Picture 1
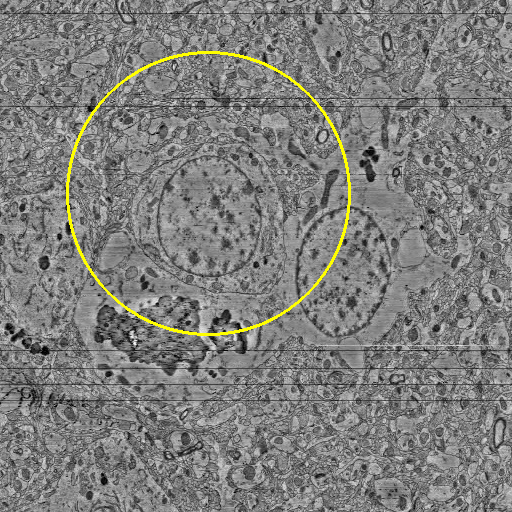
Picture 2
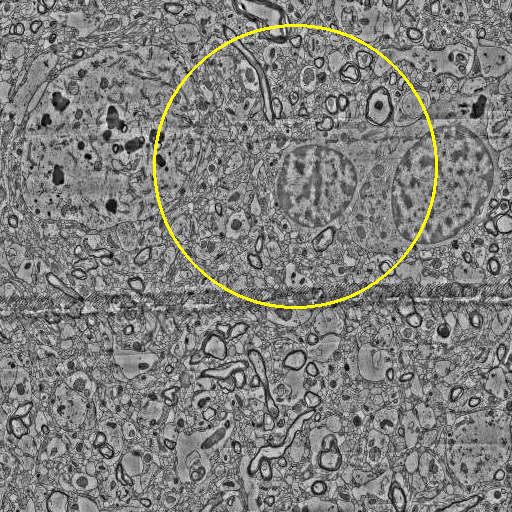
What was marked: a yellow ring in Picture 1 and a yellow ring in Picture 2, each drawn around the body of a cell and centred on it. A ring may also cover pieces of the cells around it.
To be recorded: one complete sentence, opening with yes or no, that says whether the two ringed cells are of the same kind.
No, the two ringed cells are of two kinds.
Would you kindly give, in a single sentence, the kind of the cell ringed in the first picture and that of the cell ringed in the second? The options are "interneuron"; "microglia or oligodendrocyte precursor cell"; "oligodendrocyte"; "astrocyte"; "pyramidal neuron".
The second cell is an oligodendrocyte, and the first cell is a pyramidal neuron.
